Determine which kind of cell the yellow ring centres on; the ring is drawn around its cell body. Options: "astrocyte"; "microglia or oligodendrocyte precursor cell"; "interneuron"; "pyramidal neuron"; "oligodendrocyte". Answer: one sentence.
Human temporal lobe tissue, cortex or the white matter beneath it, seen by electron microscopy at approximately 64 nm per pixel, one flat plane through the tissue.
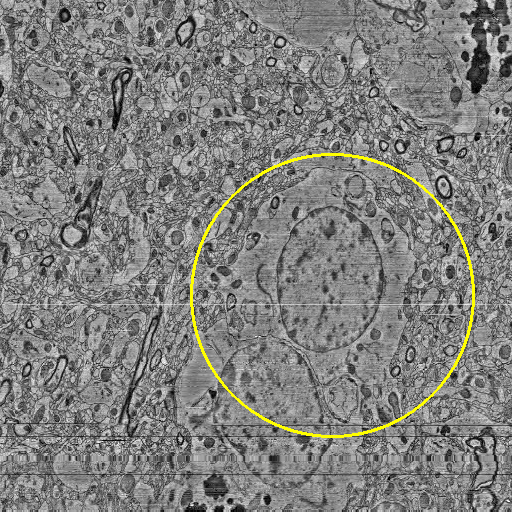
The ring centres on an astrocyte.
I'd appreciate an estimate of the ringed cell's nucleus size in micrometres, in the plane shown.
In this plane the nucleus spans approximately 10 by 7 micrometers.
